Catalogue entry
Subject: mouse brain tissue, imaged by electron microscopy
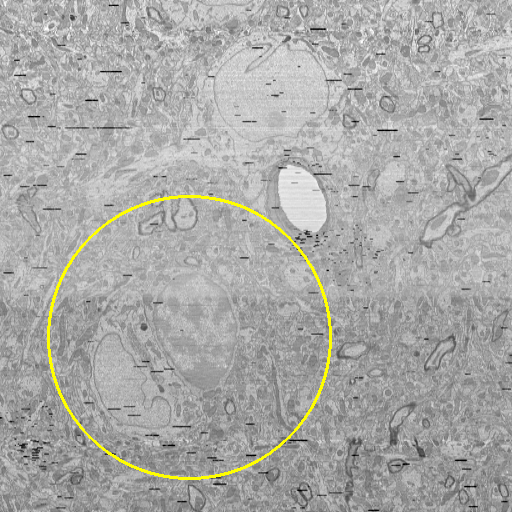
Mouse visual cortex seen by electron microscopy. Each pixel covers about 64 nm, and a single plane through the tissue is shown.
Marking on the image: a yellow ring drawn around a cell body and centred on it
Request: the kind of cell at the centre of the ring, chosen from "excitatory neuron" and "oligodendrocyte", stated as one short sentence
The ring has an oligodendrocyte at its centre.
